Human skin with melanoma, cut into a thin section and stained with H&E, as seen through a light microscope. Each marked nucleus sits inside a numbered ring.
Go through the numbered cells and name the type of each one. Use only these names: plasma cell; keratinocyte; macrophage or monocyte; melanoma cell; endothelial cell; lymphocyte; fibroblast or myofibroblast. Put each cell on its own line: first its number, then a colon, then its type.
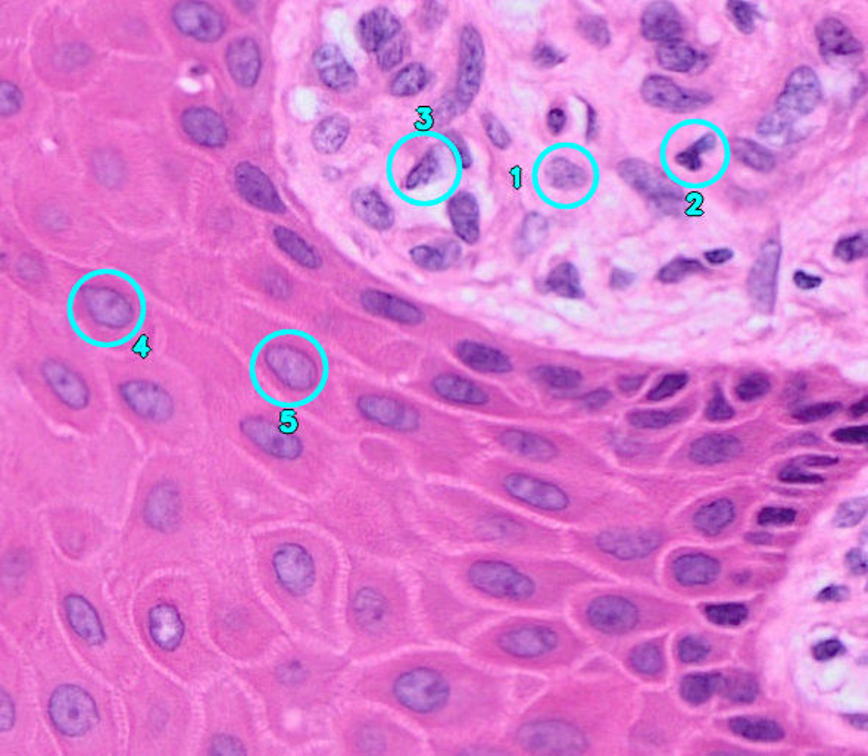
1: fibroblast or myofibroblast
2: lymphocyte
3: endothelial cell
4: keratinocyte
5: keratinocyte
